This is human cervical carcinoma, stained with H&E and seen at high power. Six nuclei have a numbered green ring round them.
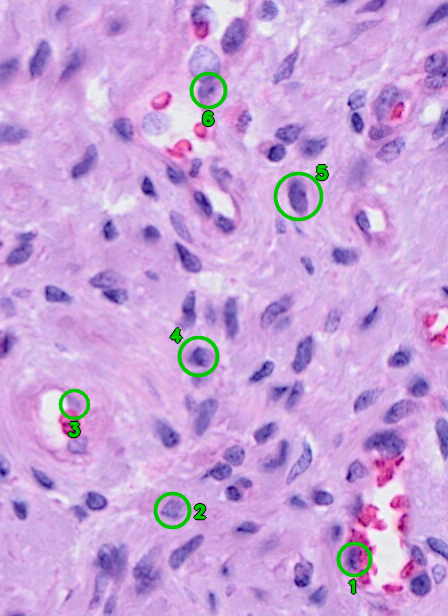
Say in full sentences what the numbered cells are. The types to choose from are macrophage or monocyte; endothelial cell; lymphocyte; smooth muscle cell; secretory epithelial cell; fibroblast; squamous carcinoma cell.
Cell 1 is an endothelial cell, cell 2 is a fibroblast, cell 3 is an endothelial cell, cell 4 is a fibroblast, cell 5 is a fibroblast and cell 6 is an endothelial cell.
